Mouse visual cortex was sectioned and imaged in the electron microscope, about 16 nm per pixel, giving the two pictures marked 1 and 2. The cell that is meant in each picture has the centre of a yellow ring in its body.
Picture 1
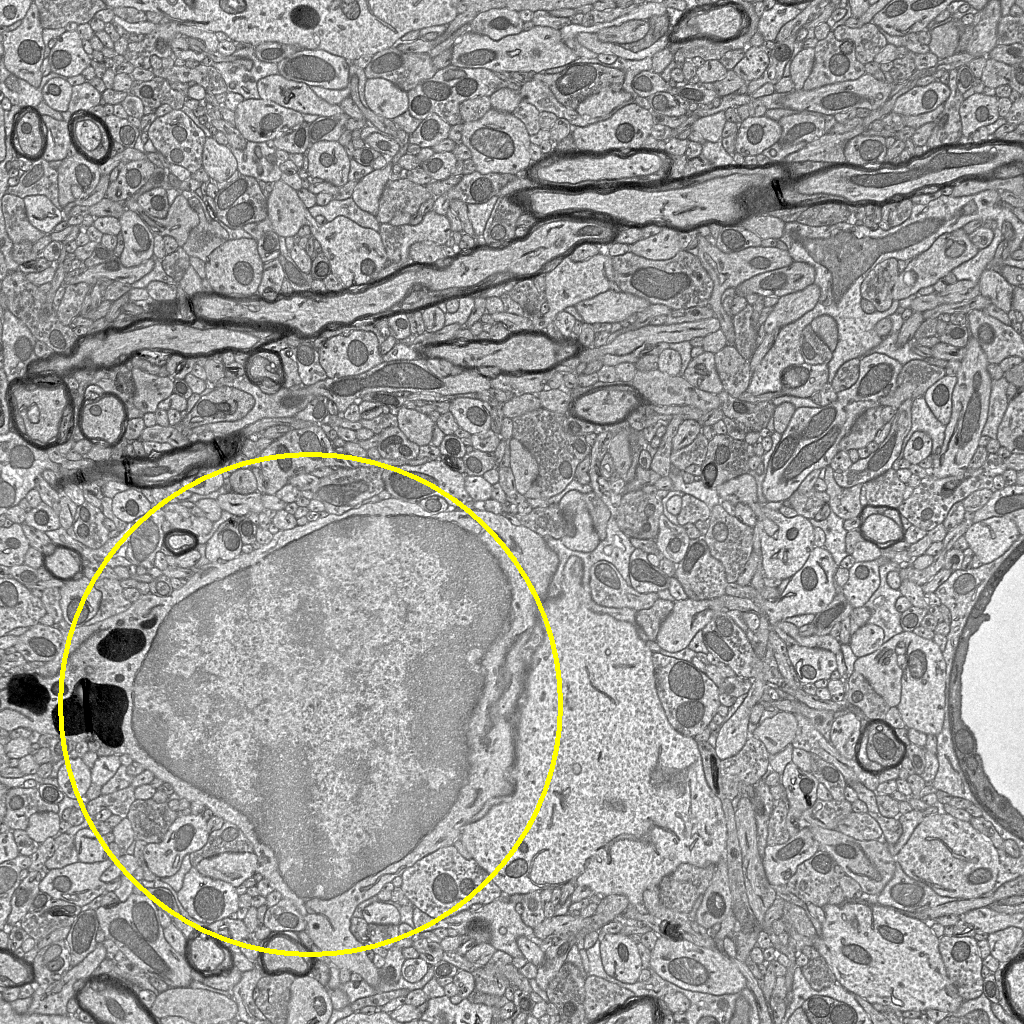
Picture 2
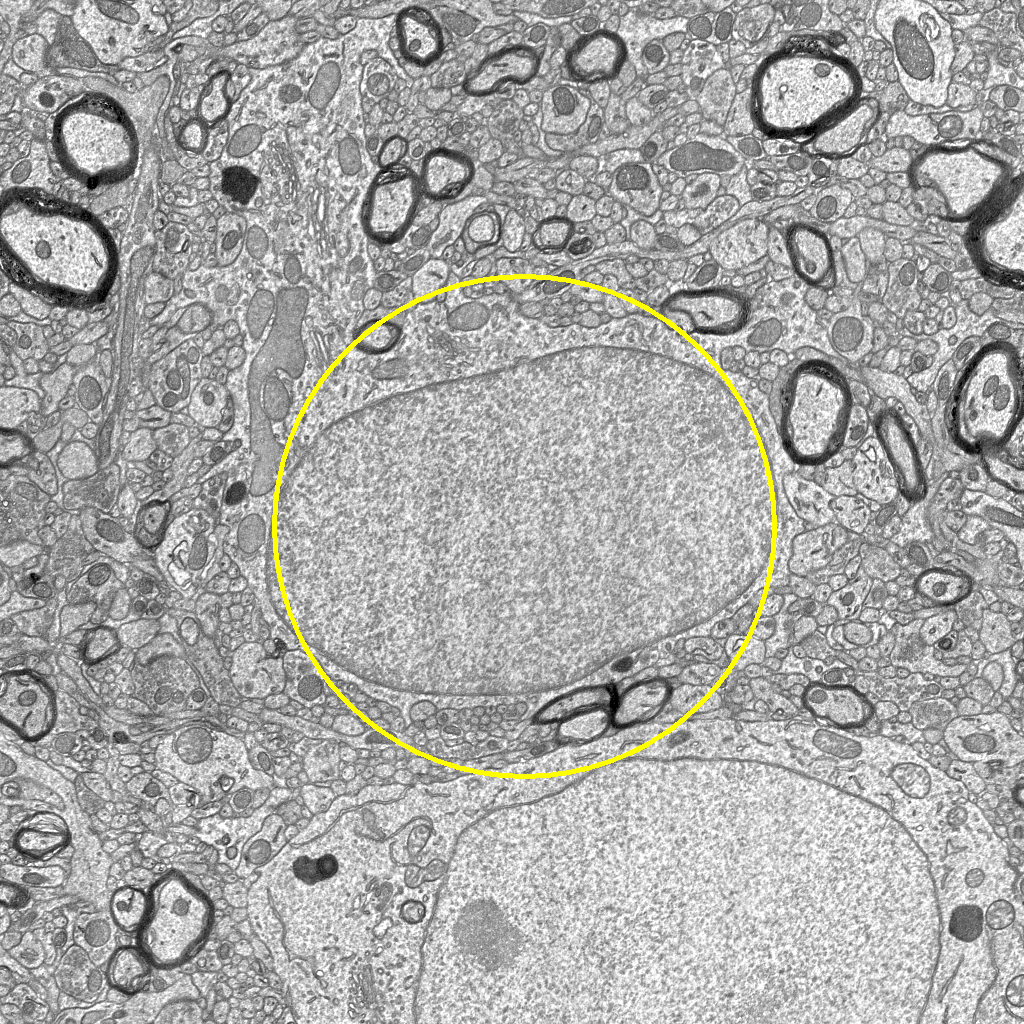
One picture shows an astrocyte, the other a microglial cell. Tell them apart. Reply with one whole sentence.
Picture 1 is of a microglial cell, and picture 2 is of an astrocyte.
